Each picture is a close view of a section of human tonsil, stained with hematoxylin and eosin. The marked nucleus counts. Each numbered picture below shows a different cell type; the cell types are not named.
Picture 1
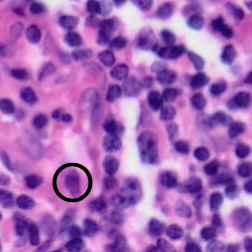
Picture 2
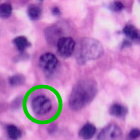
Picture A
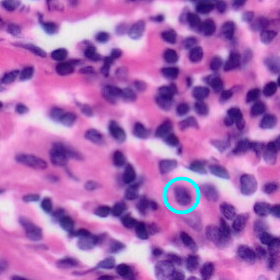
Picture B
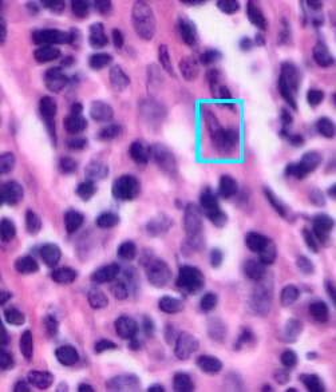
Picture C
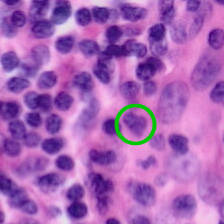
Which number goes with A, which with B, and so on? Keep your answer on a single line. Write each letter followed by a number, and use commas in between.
A 1, B 1, C 1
